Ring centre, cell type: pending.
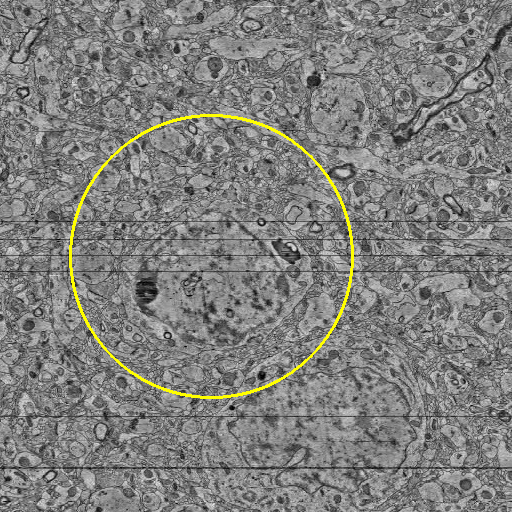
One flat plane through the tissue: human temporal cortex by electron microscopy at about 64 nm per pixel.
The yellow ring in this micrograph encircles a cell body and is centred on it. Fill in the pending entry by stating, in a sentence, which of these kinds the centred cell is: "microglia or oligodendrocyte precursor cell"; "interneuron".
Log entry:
The centred cell is recorded as an interneuron.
